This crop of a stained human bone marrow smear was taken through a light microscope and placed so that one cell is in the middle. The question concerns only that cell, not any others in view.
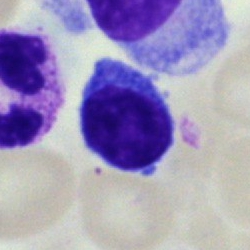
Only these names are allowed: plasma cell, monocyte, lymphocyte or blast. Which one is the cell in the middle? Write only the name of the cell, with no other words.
lymphocyte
